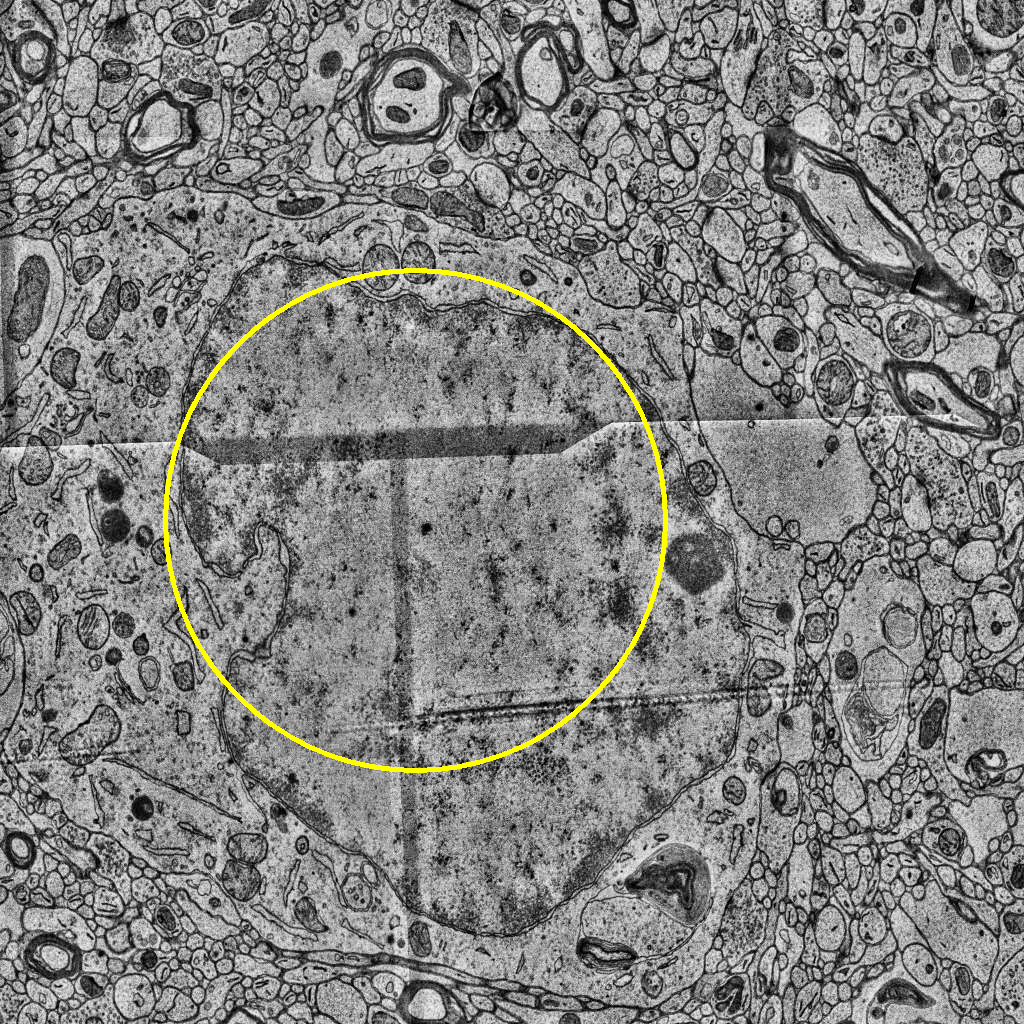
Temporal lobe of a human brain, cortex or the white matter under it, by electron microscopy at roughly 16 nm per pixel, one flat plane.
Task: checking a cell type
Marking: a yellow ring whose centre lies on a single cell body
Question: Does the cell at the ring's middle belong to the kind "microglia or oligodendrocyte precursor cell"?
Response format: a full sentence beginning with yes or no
No, the cell marked at the ring's centre in the picture is of a different kind.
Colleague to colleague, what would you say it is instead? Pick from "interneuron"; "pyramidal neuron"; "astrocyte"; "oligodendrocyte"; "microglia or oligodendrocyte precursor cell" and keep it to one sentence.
Instead, the cell inside the ring is an interneuron.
